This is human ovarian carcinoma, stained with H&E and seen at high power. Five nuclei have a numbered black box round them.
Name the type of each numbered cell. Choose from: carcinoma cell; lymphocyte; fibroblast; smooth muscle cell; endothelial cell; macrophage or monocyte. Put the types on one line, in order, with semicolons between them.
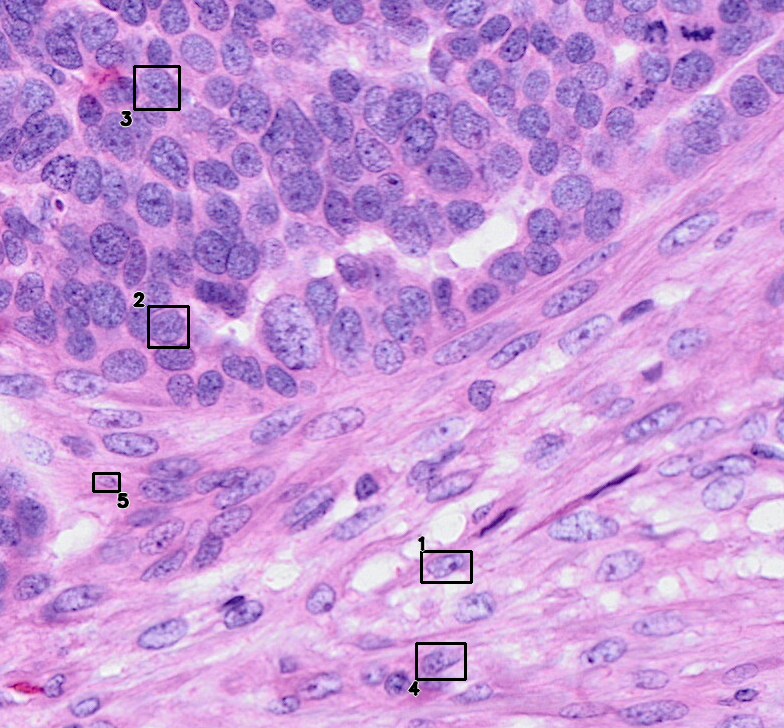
fibroblast; carcinoma cell; carcinoma cell; fibroblast; fibroblast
